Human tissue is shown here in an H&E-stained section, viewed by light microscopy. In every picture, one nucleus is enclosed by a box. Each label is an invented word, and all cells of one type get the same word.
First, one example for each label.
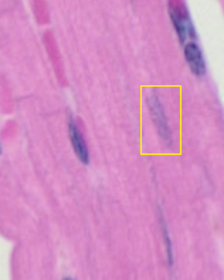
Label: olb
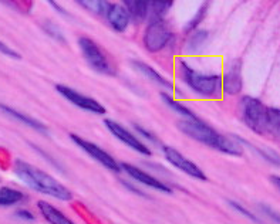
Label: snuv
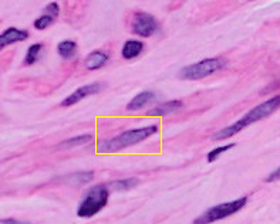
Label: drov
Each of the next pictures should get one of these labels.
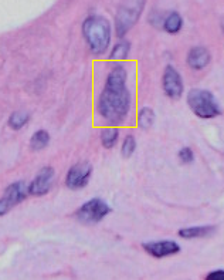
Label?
drov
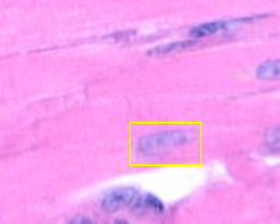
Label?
olb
